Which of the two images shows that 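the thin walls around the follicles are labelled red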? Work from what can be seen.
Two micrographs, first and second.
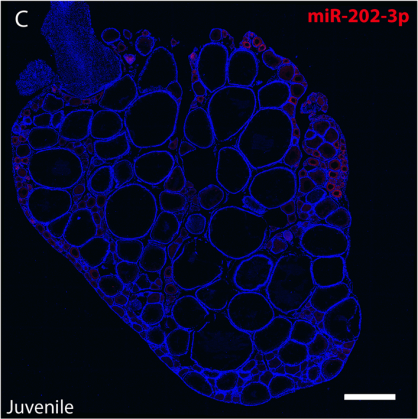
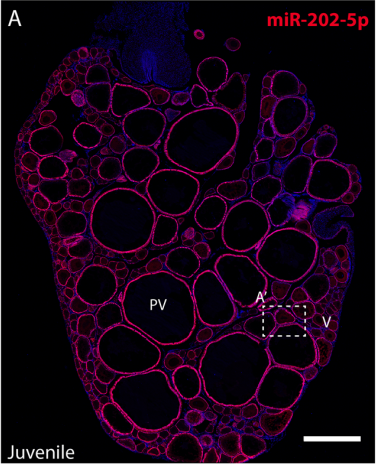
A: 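The second image. First image: the follicle walls appear blue with little or no red. Second image: bright red rings outline nearly every follicle.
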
